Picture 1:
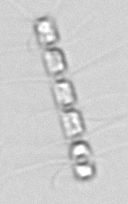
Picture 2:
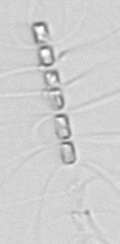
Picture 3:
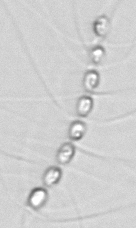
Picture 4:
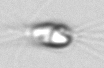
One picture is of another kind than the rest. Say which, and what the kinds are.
Picture 4 shows Chrysochromulina parkeae; the rest show Chaetoceros.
